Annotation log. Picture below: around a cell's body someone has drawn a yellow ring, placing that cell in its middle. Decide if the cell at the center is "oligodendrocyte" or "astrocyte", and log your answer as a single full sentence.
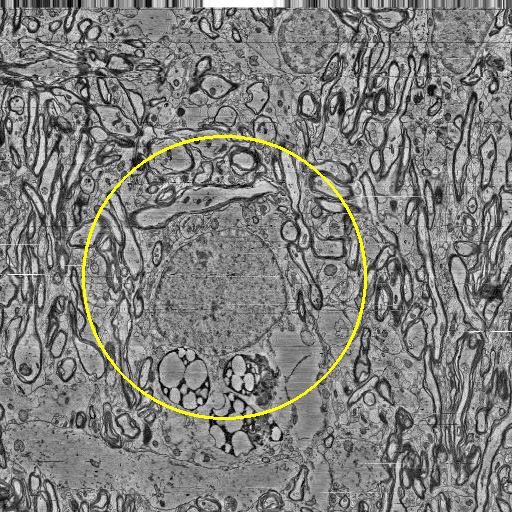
My entry records an astrocyte as the cell sitting at the center of the yellow ring.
